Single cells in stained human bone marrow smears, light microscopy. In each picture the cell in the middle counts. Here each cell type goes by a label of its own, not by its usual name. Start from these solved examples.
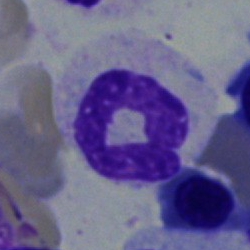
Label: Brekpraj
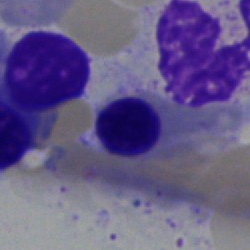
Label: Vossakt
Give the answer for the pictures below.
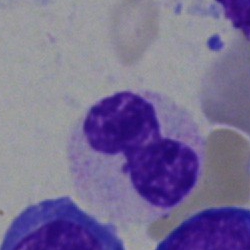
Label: Brekpraj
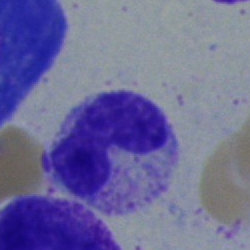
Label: Brekpraj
